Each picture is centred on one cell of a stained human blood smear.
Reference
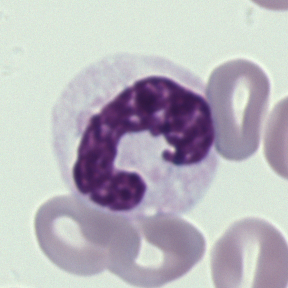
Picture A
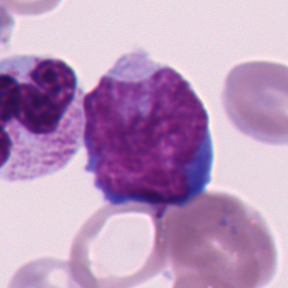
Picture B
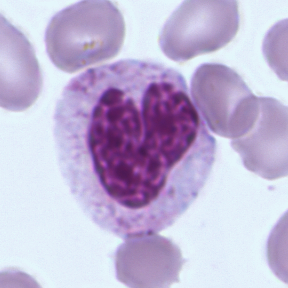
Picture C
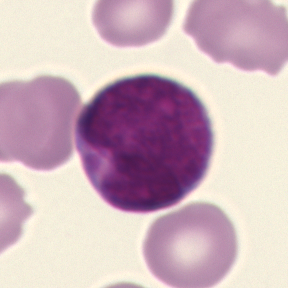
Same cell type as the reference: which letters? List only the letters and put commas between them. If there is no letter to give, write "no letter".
B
